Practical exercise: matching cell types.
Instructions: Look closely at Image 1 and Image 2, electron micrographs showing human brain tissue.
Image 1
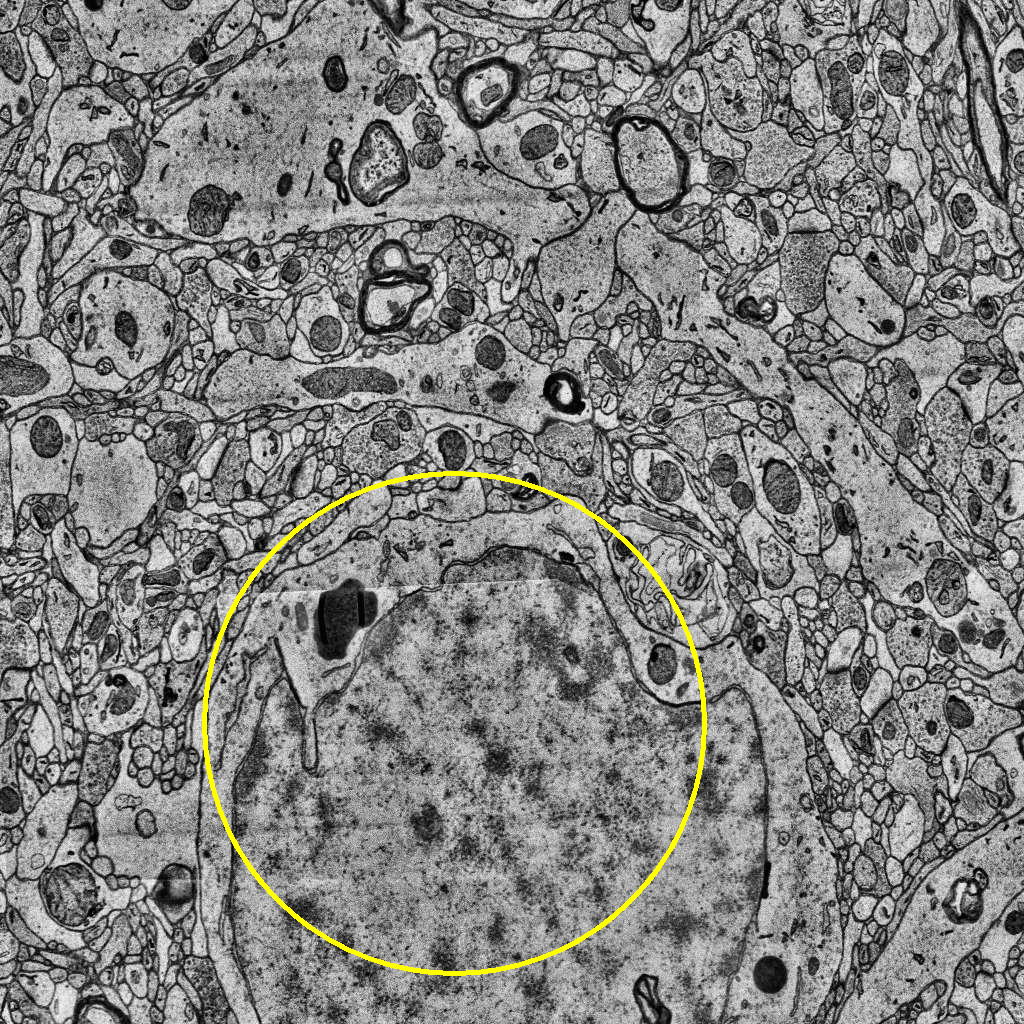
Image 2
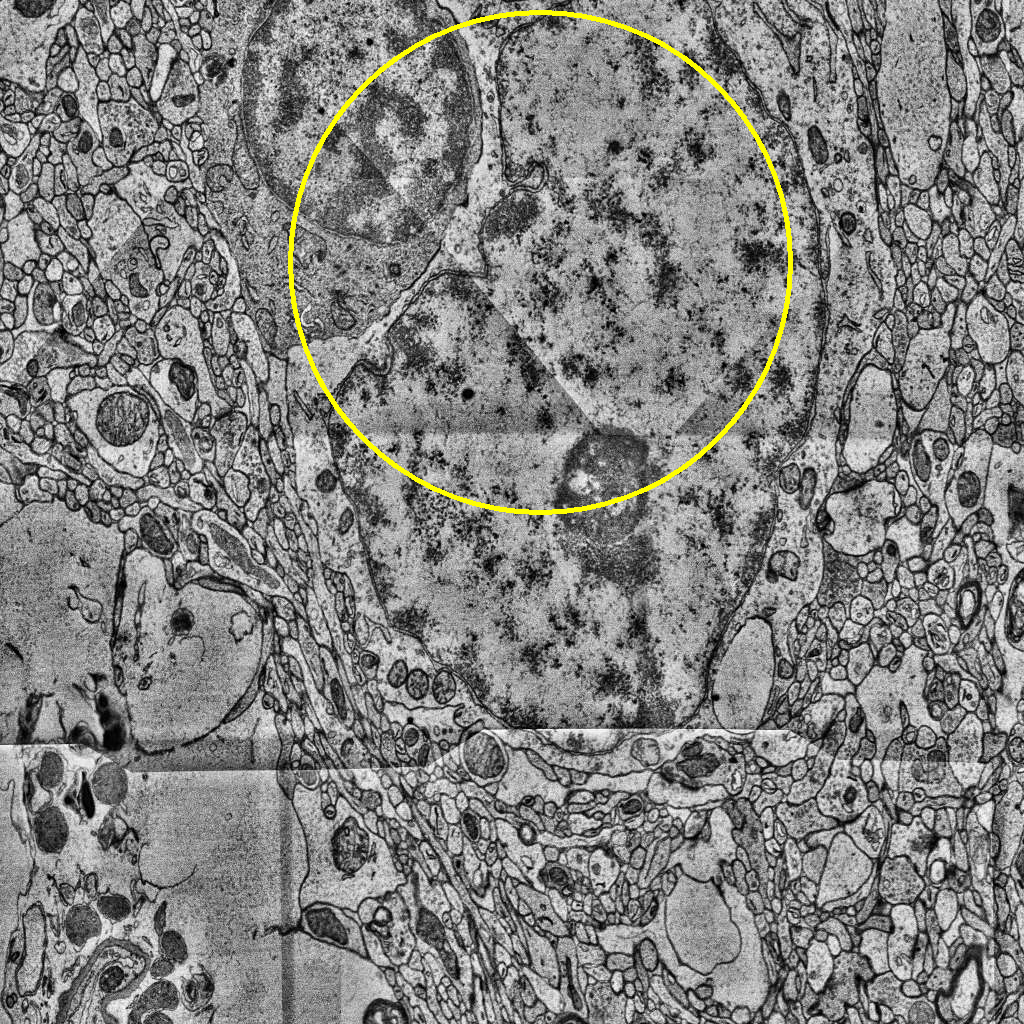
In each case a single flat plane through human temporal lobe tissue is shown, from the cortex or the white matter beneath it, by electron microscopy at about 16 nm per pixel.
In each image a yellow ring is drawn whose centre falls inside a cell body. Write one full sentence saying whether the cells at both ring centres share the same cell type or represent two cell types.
Across Image 1 and Image 2, the cells at the ring centres share the same cell type.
